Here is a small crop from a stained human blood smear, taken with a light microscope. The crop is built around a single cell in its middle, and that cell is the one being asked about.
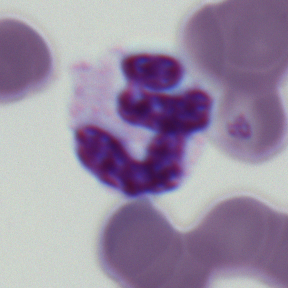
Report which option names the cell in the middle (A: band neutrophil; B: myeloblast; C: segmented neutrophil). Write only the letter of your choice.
C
